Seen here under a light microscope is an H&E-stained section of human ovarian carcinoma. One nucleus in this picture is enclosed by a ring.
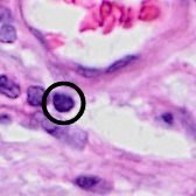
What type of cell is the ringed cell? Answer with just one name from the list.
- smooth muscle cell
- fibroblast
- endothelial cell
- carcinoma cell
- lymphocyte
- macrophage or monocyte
lymphocyte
